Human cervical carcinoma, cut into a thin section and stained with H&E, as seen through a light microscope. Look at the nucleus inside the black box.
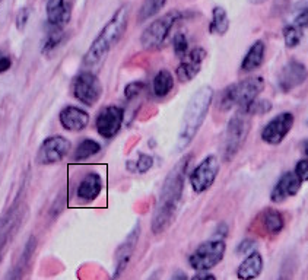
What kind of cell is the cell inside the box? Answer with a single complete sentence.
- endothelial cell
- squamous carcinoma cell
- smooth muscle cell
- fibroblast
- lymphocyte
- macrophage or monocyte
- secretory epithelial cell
In this preparation, the cell inside the box is a lymphocyte.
